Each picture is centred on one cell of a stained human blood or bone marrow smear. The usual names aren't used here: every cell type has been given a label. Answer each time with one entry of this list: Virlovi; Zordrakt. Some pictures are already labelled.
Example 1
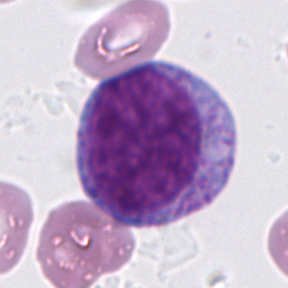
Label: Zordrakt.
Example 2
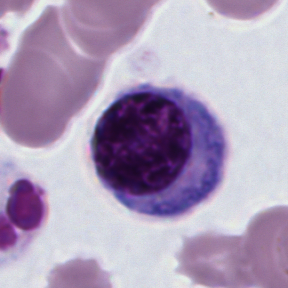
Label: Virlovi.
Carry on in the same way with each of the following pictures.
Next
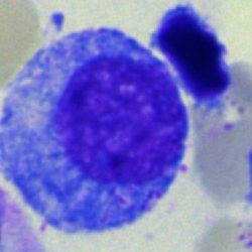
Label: Zordrakt.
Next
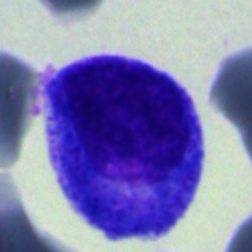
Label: Zordrakt.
